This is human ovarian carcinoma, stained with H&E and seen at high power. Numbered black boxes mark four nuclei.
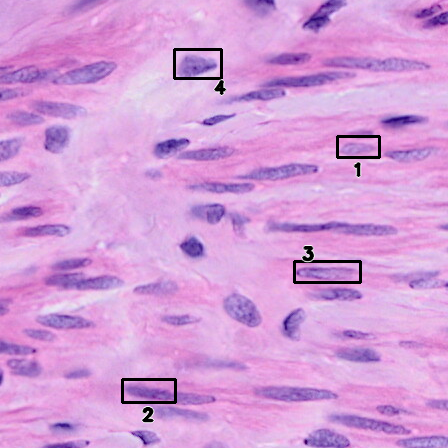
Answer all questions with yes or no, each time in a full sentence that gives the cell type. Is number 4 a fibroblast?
Yes, the cell with number 4 is a fibroblast.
